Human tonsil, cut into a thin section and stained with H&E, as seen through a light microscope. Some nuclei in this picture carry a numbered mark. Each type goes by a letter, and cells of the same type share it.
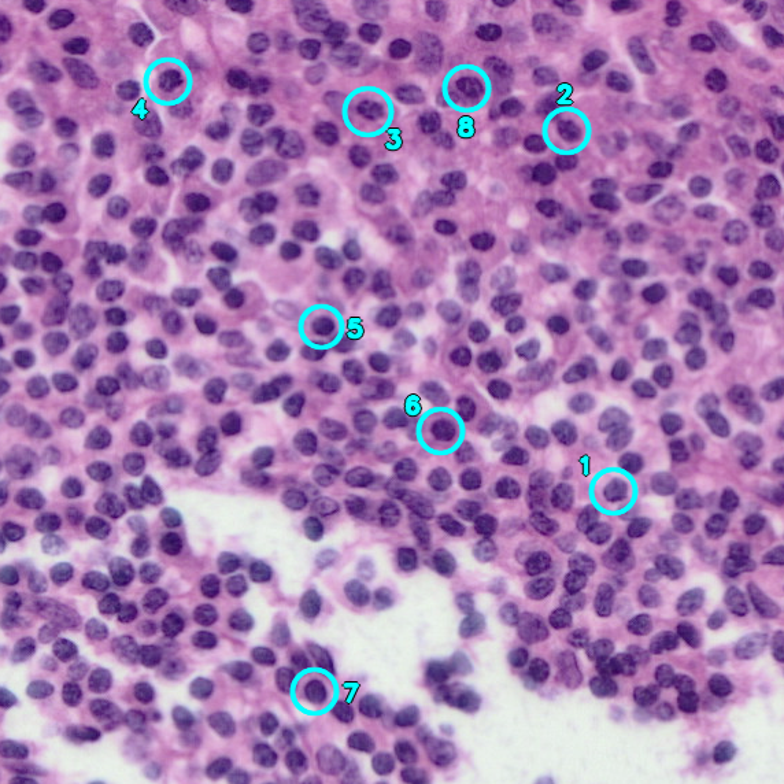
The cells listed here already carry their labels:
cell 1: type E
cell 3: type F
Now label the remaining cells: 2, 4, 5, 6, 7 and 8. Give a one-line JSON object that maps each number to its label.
{"2": "type F", "4": "type F", "5": "type E", "6": "type F", "7": "type E", "8": "type F"}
